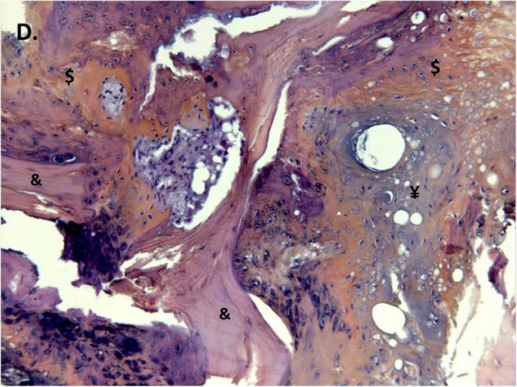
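Sclerotic bone with coexisting normal trabeculae, woven bone and chondroid bone. Pale pink lamellar trabeculae run between areas of orange matrix crowded with irregularly scattered cells, the woven bone. To the right, bluish-grey matrix holds rounded cells in clear lacunae, resembling cartilage: the chondroid bone. Dense clusters of dark purple nuclei and small cellular spaces with loose tissue lie among them, and round clear holes are scattered through the field.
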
